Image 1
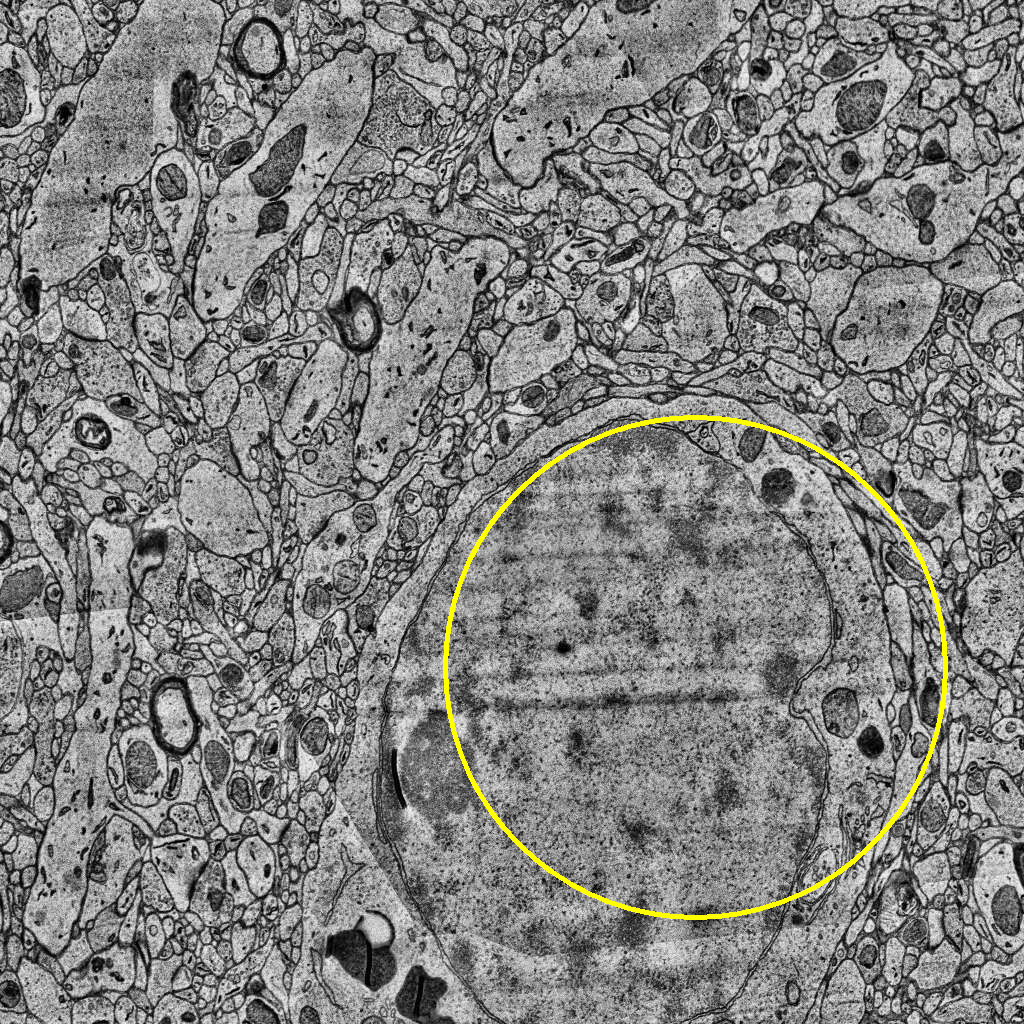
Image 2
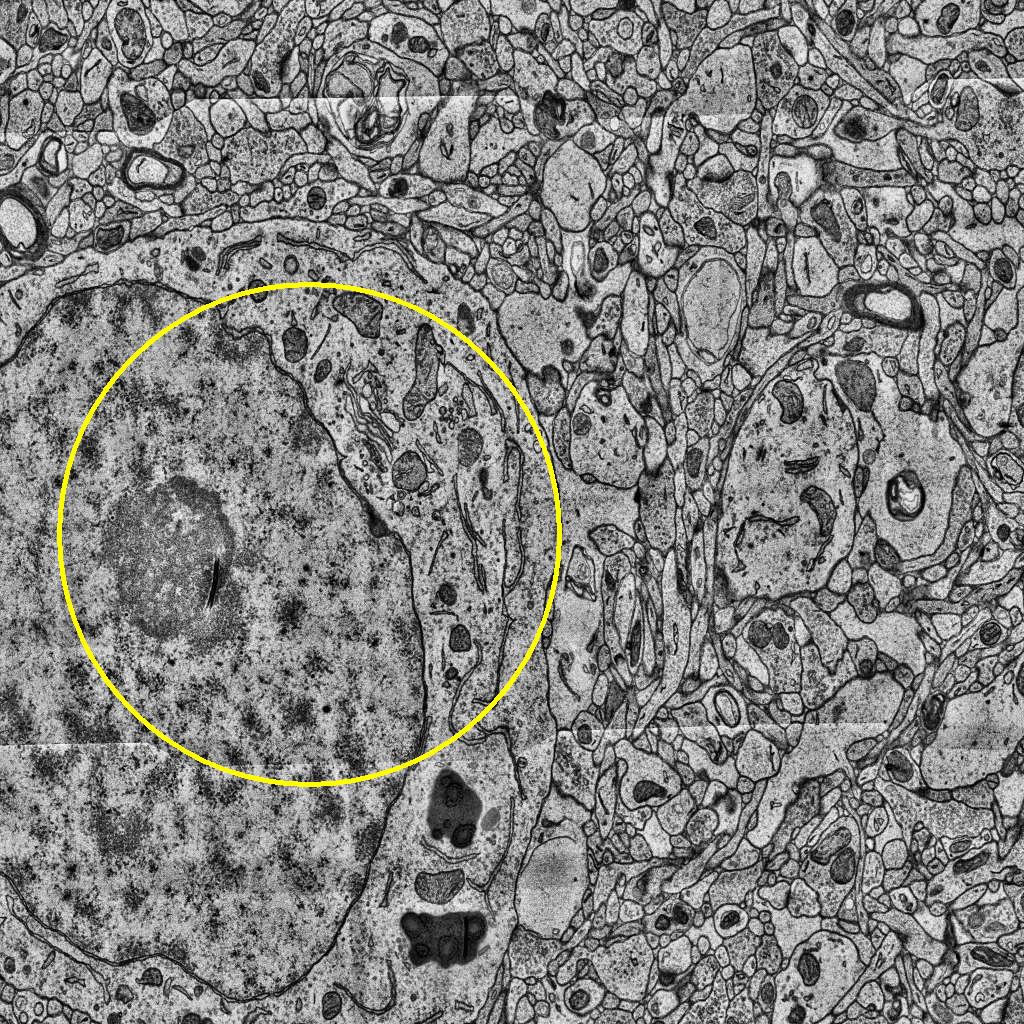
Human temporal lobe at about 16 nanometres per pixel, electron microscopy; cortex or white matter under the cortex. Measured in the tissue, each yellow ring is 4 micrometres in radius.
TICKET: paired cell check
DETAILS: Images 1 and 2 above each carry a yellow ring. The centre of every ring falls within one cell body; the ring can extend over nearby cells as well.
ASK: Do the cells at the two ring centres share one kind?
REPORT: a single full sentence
Yes, the cells at the ring centres of Images 1 and 2 belong to a single kind.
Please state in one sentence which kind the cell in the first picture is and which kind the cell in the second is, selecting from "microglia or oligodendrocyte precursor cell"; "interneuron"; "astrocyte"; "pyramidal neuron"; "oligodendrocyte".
Each of the two cells is an interneuron.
